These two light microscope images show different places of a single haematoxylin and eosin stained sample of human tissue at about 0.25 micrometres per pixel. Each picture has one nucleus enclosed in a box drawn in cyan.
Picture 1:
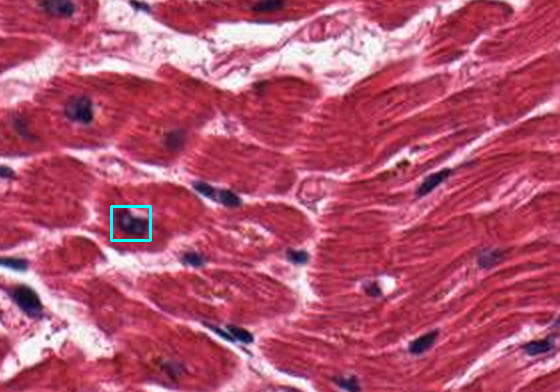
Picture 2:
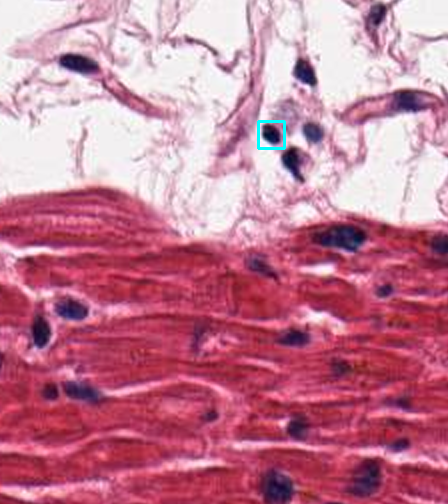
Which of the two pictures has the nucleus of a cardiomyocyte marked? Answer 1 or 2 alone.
1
